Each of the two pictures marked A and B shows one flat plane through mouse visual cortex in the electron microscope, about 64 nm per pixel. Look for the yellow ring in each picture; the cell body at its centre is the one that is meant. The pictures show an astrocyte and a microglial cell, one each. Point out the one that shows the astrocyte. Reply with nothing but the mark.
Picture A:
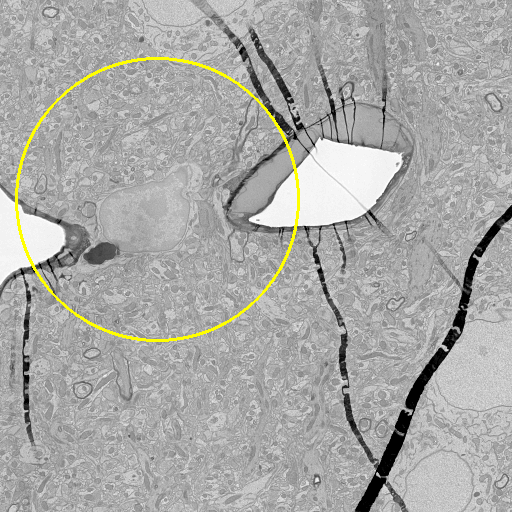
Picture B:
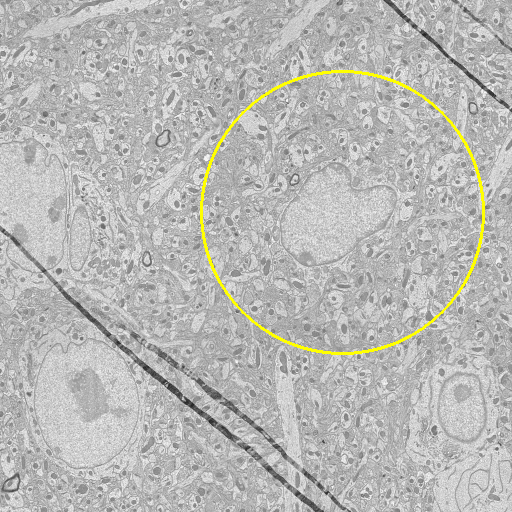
B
